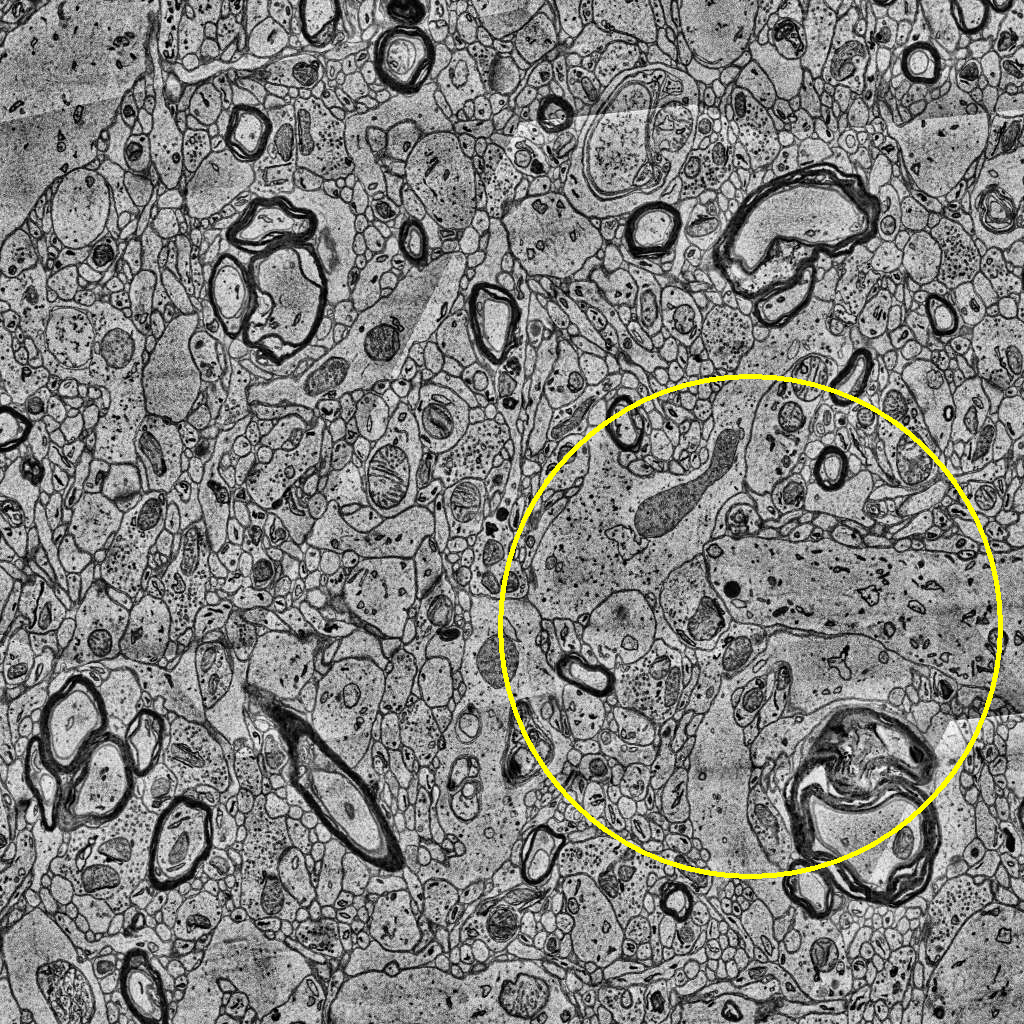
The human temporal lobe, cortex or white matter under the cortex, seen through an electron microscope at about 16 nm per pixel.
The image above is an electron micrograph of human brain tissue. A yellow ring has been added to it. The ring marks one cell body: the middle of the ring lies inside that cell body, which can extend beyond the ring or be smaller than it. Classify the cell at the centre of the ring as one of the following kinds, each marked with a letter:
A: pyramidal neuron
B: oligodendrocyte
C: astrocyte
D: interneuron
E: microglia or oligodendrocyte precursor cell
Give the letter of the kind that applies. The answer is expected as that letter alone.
B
